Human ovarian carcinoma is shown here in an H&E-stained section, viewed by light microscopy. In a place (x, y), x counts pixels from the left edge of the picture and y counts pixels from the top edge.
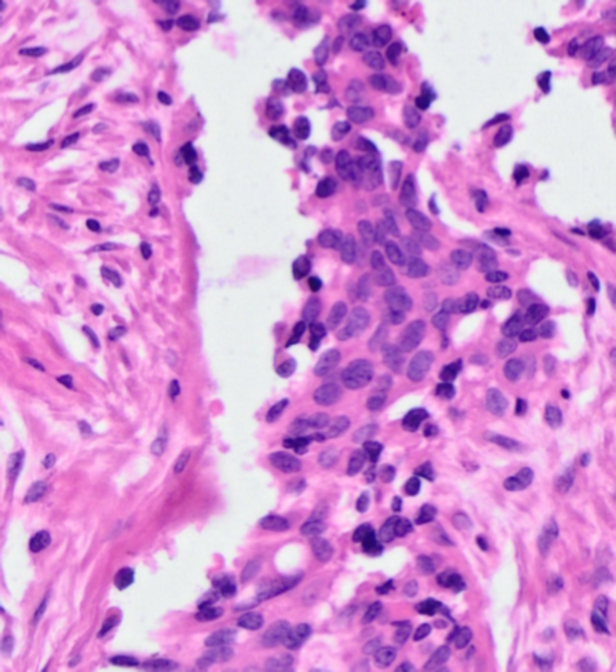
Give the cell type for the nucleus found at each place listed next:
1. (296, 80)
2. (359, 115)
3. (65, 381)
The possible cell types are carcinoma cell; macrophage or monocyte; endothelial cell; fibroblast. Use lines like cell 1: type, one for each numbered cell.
cell 1: carcinoma cell
cell 2: carcinoma cell
cell 3: fibroblast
